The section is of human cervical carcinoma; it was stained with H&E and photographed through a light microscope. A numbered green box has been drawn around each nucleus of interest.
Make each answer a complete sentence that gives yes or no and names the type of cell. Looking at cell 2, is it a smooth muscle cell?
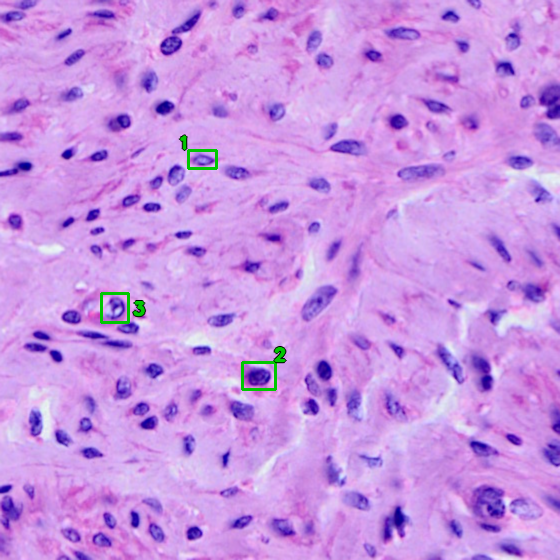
No, a lymphocyte is what cell 2 is, not a smooth muscle cell.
